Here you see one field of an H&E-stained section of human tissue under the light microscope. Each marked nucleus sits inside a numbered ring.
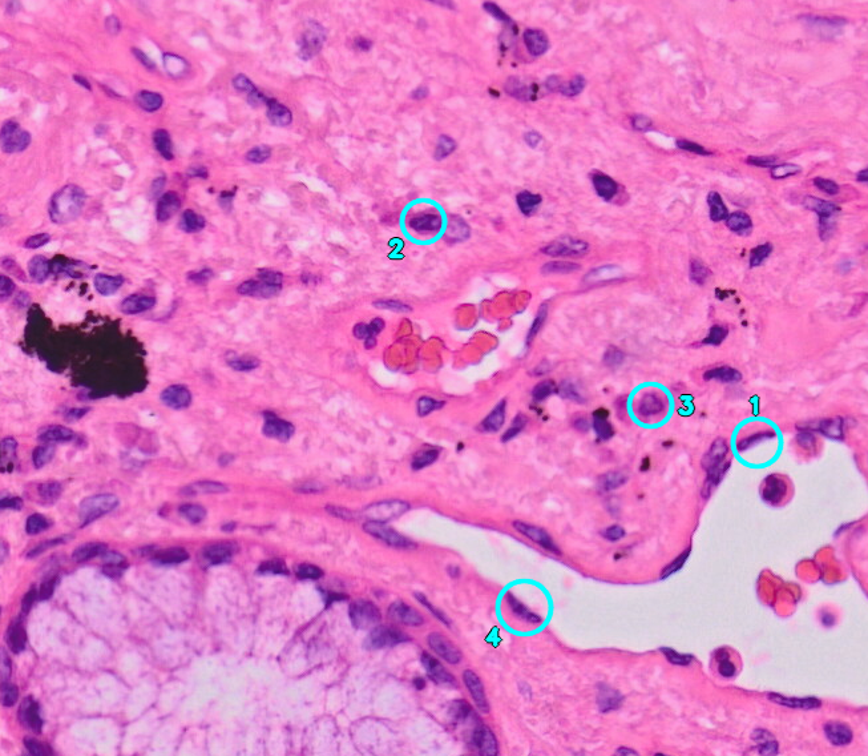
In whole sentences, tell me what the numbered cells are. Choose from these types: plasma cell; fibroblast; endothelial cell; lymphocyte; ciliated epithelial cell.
Cell 1 is an endothelial cell, cell 2 is a plasma cell, cell 3 is a plasma cell and cell 4 is an endothelial cell.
